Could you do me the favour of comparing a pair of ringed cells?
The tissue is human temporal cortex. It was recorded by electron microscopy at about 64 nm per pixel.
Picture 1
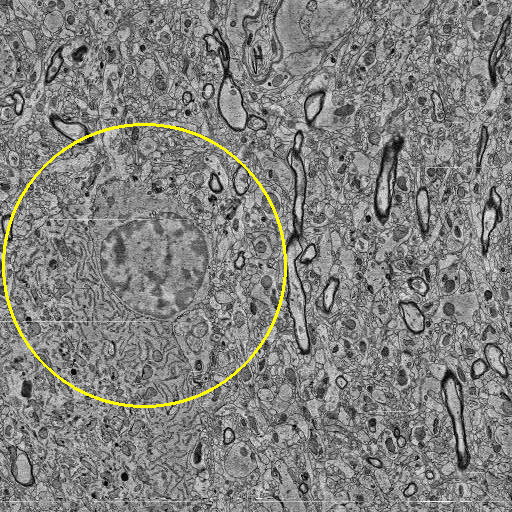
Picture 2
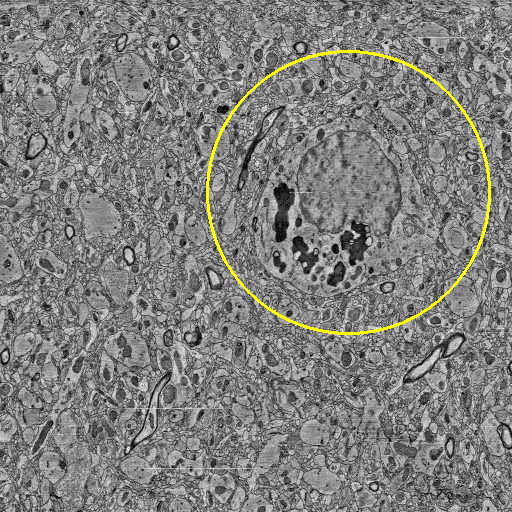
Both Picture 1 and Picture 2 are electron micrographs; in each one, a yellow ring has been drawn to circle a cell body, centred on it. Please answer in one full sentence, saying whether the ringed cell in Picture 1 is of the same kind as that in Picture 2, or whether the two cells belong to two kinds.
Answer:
The ringed cells in Picture 1 and Picture 2 belong to two kinds.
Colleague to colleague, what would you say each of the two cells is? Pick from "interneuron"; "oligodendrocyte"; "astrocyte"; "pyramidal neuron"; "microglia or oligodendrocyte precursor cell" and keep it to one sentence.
The cell in the first picture is an oligodendrocyte; the second picture's cell is an interneuron.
